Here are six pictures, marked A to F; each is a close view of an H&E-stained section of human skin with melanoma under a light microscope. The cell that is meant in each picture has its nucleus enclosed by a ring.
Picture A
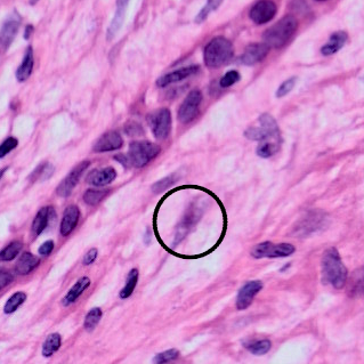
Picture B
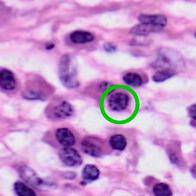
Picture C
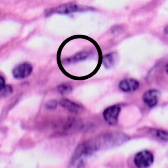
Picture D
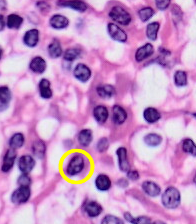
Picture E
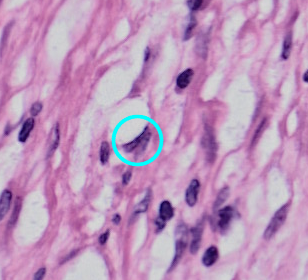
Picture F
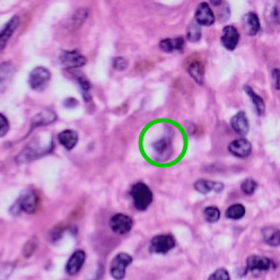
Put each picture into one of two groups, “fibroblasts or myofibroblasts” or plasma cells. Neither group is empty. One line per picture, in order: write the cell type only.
fibroblast or myofibroblast
plasma cell
fibroblast or myofibroblast
plasma cell
fibroblast or myofibroblast
fibroblast or myofibroblast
